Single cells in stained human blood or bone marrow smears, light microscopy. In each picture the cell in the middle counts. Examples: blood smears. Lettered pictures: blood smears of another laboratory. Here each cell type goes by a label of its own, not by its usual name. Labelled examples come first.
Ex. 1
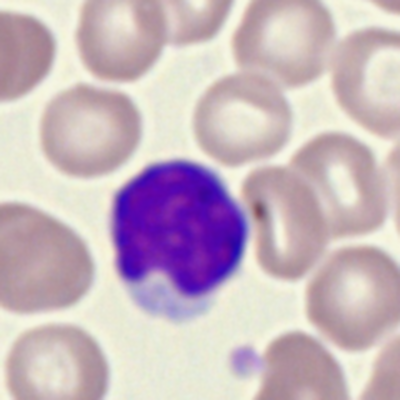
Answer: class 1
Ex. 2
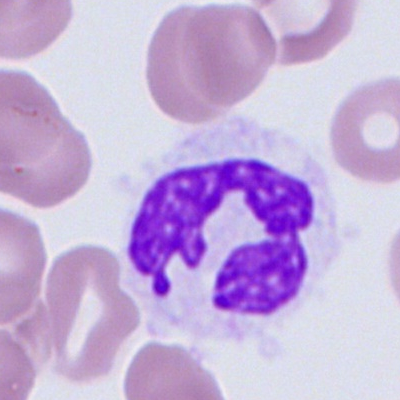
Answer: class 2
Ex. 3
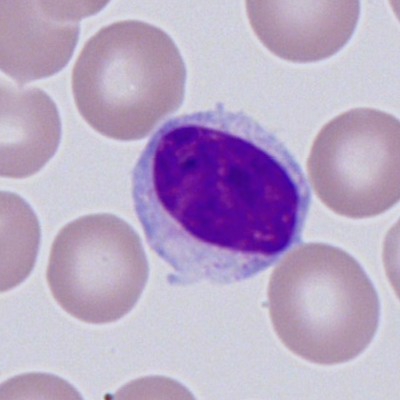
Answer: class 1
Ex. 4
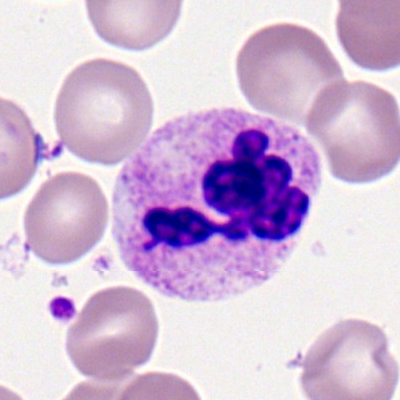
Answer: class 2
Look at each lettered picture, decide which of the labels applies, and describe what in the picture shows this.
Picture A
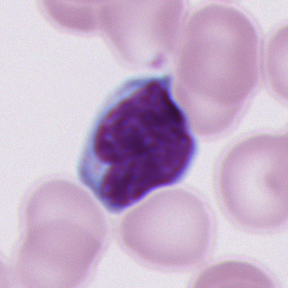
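Label: class 1. The cytoplasm forms a thin rim that is widest on the left side of the cell.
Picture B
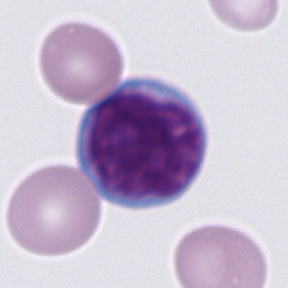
Label: class 1. The cytoplasm forms only a thin rim around the nucleus.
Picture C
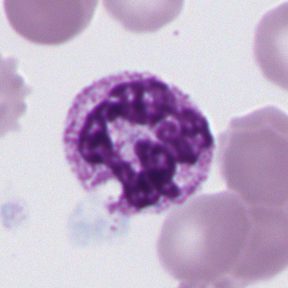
Label: class 2. The nuclear lobes curve around a central patch of pale granular cytoplasm.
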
